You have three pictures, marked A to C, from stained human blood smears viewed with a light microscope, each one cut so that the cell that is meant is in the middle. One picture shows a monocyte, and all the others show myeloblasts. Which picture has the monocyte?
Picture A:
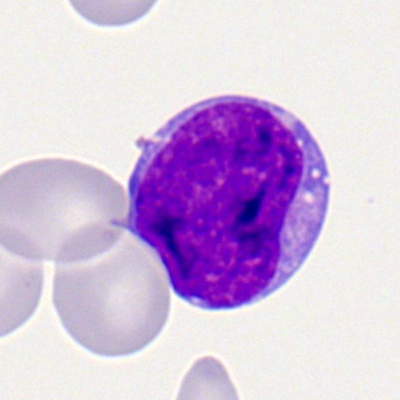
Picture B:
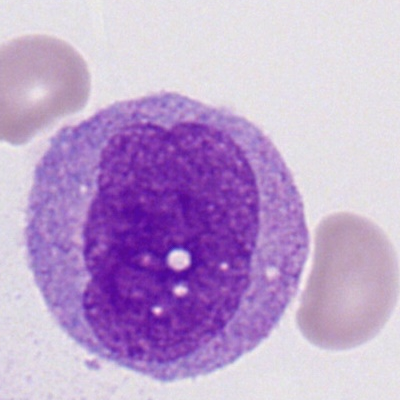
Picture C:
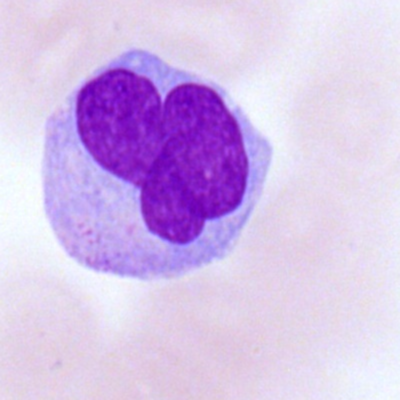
C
